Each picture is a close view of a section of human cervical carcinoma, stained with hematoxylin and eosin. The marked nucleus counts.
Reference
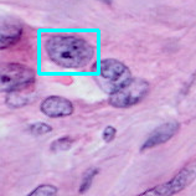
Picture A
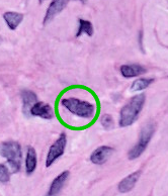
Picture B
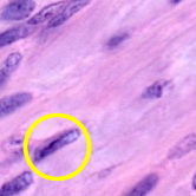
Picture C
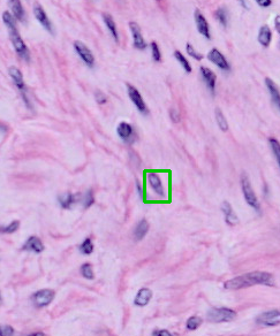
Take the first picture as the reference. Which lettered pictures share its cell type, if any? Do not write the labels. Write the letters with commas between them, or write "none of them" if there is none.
none of them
